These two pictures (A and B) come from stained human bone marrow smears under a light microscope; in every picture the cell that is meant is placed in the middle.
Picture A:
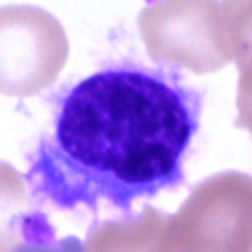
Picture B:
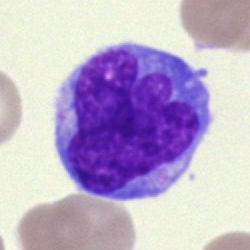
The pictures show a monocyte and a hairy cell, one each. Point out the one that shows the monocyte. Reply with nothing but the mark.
B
